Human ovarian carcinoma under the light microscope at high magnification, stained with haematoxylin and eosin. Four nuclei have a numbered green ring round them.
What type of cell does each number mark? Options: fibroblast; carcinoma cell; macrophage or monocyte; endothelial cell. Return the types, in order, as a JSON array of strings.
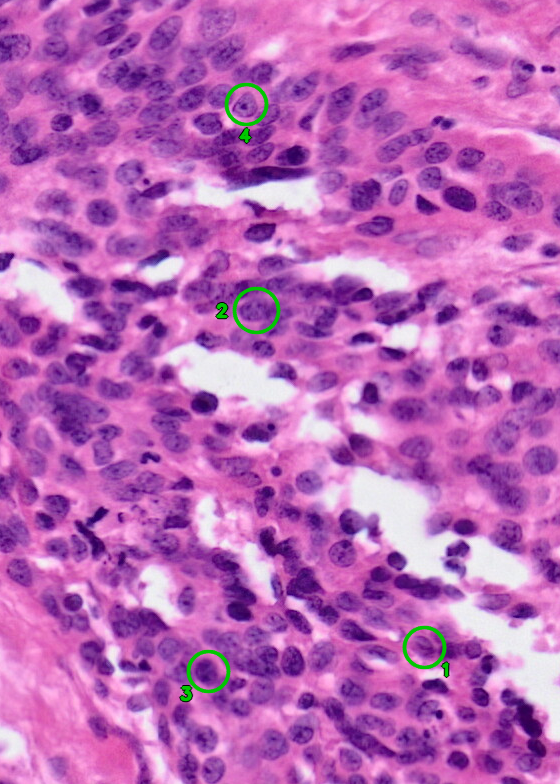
["carcinoma cell", "carcinoma cell", "carcinoma cell", "macrophage or monocyte"]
